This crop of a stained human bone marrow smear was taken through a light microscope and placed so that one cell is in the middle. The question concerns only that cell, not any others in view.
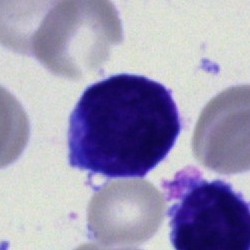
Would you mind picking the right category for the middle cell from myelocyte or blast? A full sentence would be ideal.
What the crop centres on is a blast.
